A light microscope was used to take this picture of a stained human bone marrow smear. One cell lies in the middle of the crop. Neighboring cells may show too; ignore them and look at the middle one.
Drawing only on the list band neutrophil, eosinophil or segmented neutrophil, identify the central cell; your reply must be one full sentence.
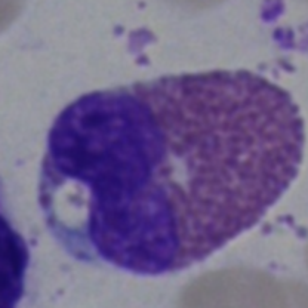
The centrally positioned cell in the crop represents an eosinophil.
